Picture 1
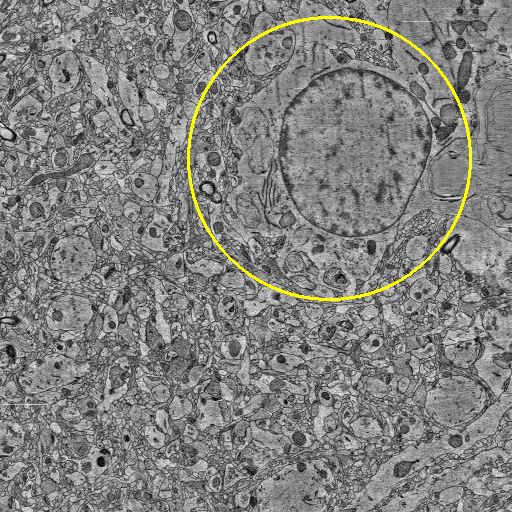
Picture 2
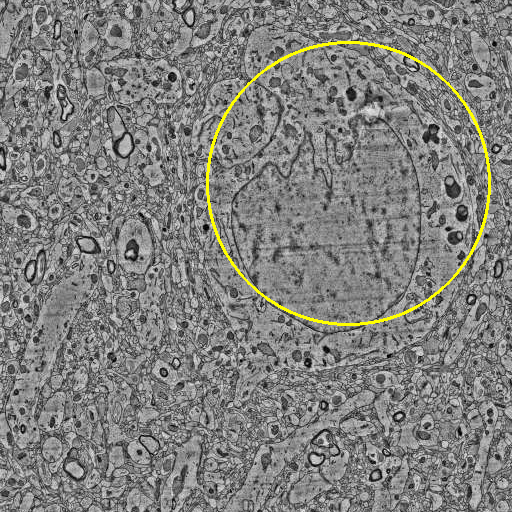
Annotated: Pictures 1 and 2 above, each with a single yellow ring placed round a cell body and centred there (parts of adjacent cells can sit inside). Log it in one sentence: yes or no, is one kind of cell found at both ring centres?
No, the ring centres of the two pictures hold cells of two kinds.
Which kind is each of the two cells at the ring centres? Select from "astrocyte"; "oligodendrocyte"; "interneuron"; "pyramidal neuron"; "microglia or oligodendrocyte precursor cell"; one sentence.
The cell at the centre of the ring is an astrocyte in the first picture and a pyramidal neuron in the second.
